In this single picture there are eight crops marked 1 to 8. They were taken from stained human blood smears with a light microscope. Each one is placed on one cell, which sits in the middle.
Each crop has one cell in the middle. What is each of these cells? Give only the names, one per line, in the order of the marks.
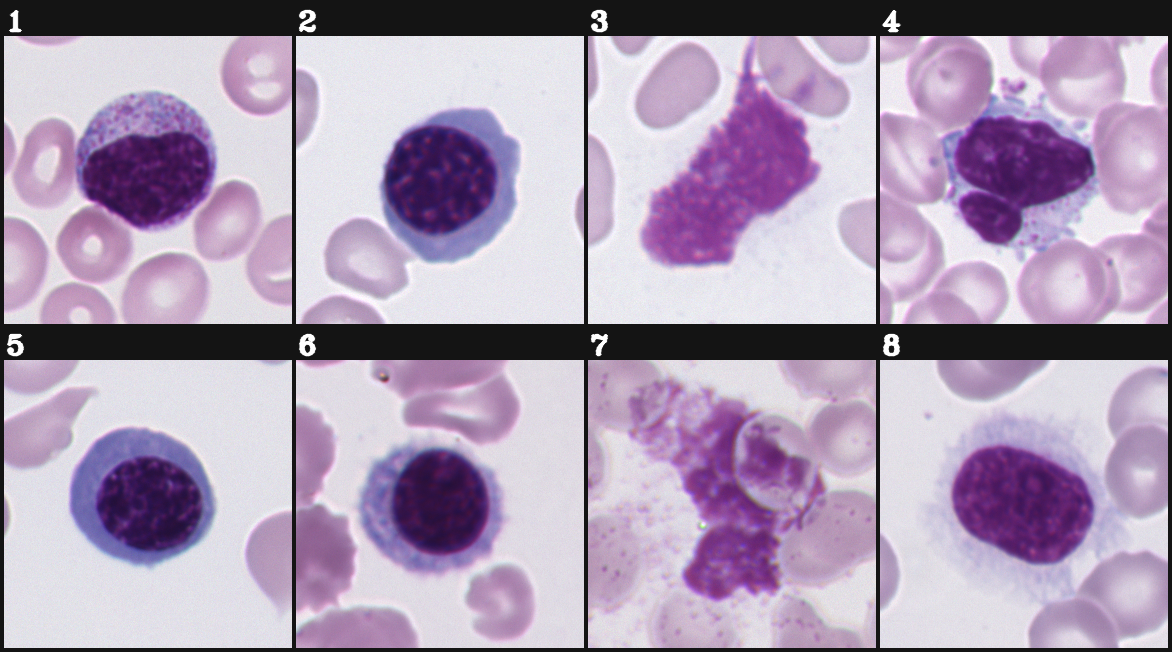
metamyelocyte
erythroblast
smudge cell
large granular lymphocyte
erythroblast
hairy cell
smudge cell
hairy cell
